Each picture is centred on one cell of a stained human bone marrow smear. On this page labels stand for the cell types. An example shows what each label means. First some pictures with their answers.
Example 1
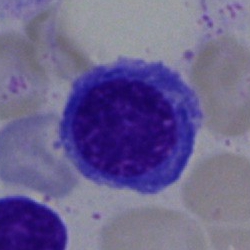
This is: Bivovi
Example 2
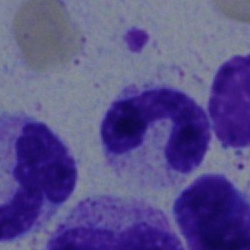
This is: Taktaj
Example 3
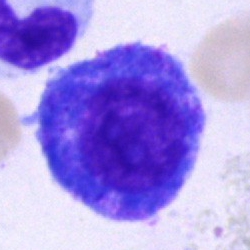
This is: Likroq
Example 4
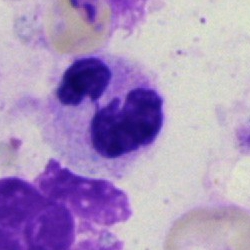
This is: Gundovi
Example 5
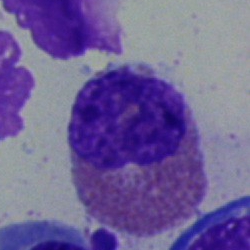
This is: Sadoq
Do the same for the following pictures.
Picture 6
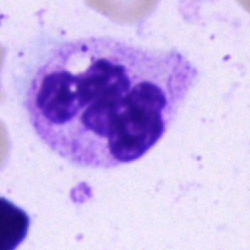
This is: Gundovi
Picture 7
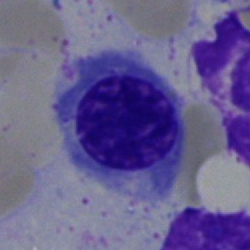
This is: Bivovi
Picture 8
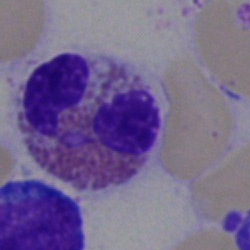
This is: Sadoq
